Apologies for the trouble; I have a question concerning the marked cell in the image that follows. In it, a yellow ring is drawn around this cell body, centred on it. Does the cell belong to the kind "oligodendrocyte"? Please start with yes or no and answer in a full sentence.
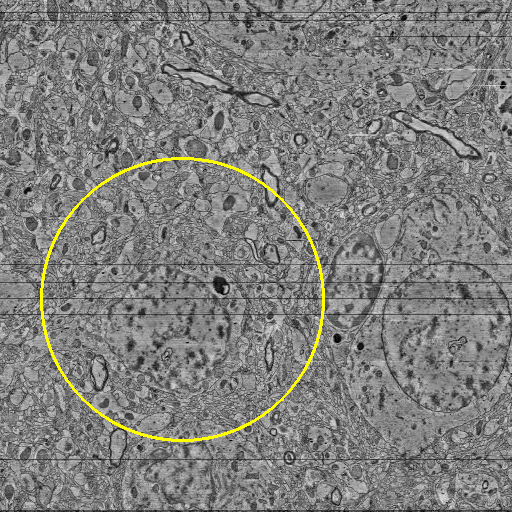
No, the ringed cell in the picture is of a different kind.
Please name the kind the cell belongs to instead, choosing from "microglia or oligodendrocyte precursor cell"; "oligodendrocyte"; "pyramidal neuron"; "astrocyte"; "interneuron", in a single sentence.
The cell enclosed by the ring is an interneuron.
